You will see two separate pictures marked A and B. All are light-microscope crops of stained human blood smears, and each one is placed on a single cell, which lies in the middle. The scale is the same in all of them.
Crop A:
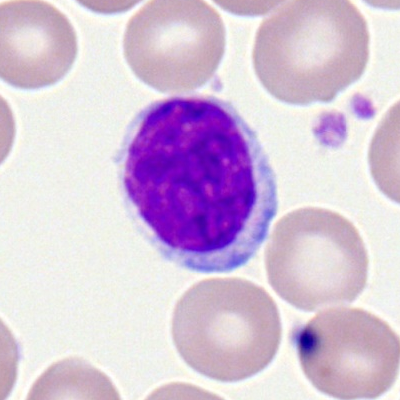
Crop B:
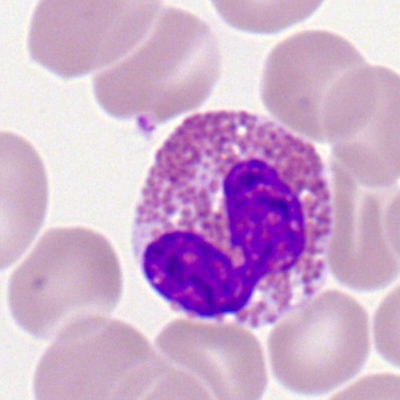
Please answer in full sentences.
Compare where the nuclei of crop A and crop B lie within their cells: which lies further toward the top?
In crop A the nucleus is shifted more toward the top.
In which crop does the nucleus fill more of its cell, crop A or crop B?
It is the cell in crop A that is filled more by its nucleus.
